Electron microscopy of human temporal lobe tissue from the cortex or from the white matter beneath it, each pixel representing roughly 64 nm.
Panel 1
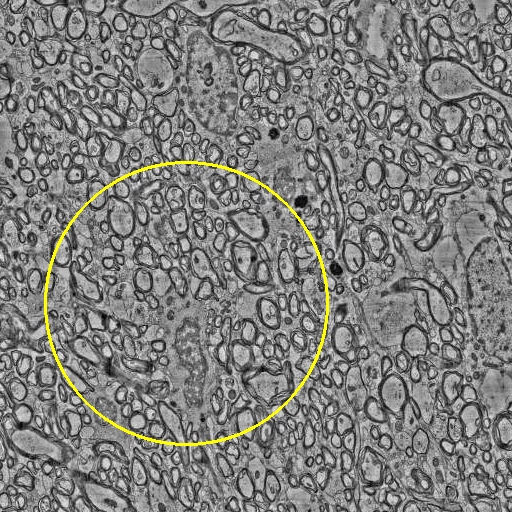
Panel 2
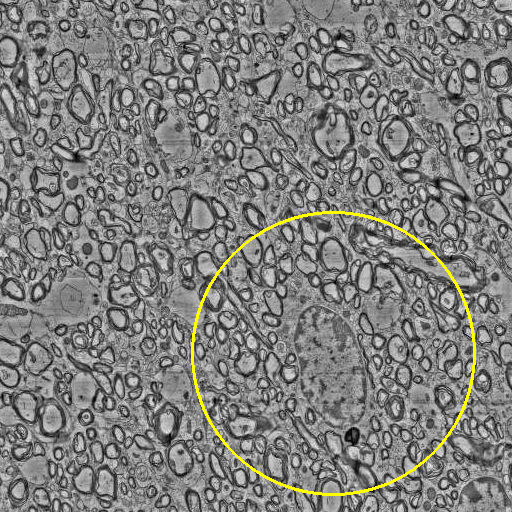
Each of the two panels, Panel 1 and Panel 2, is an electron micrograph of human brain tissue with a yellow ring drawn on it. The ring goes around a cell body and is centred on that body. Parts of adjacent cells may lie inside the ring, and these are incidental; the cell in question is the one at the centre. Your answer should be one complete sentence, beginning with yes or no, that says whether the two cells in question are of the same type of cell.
Yes, the two cells are of the same type.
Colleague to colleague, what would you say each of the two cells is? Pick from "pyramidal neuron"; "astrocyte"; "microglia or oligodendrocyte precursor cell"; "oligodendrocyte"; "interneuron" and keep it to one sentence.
Both pictures show an oligodendrocyte at the centre of the ring.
